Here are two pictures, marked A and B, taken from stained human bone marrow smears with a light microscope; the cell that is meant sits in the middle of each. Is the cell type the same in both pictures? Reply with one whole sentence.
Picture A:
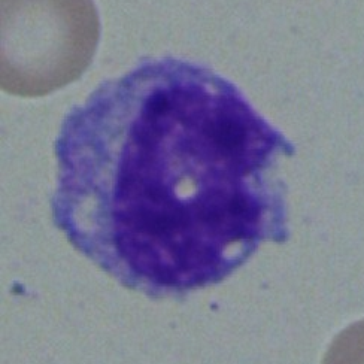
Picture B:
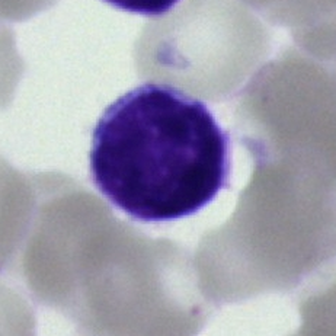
No; the cell in picture A is a monocyte, while the one in picture B is a lymphocyte.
